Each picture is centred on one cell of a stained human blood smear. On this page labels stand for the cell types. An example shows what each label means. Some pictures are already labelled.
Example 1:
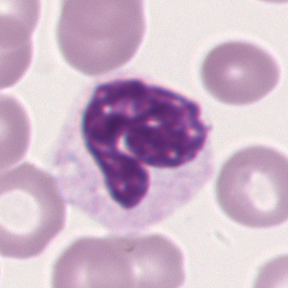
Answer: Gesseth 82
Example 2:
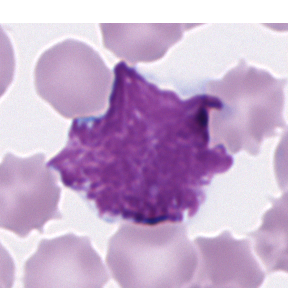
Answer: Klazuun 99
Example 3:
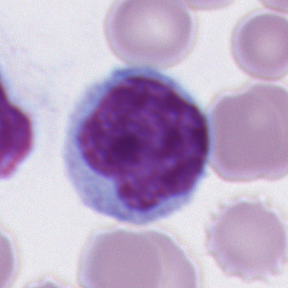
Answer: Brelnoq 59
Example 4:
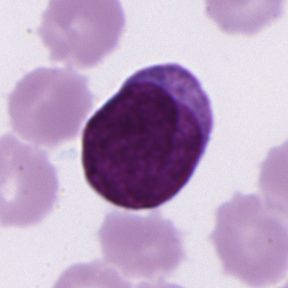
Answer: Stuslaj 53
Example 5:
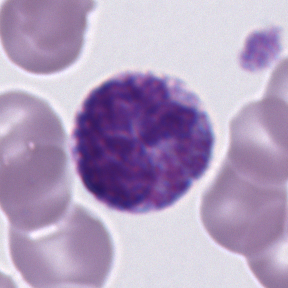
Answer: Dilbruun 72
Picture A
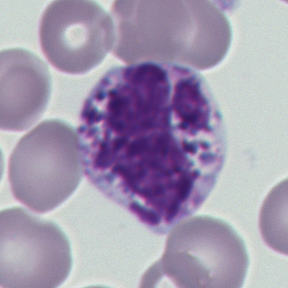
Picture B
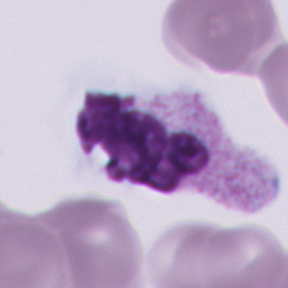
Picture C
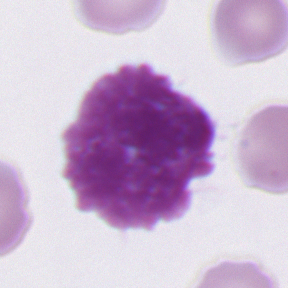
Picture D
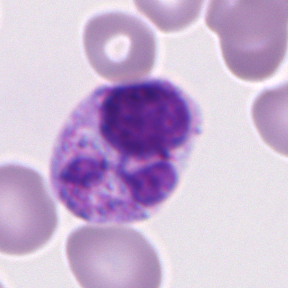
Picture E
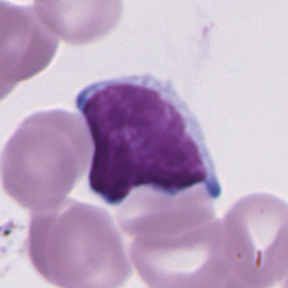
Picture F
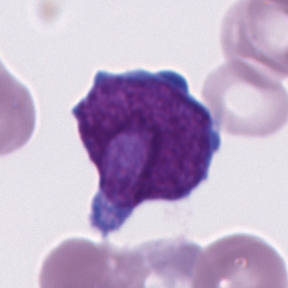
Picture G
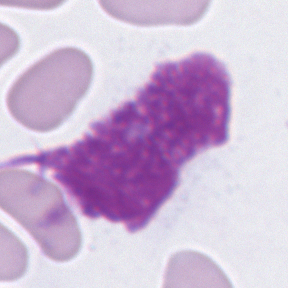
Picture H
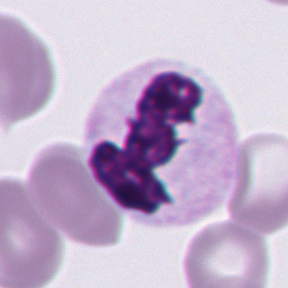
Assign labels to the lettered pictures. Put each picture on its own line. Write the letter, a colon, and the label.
A: Dilbruun 72
B: Gesseth 82
C: Klazuun 99
D: Dilbruun 72
E: Brelnoq 59
F: Stuslaj 53
G: Klazuun 99
H: Gesseth 82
